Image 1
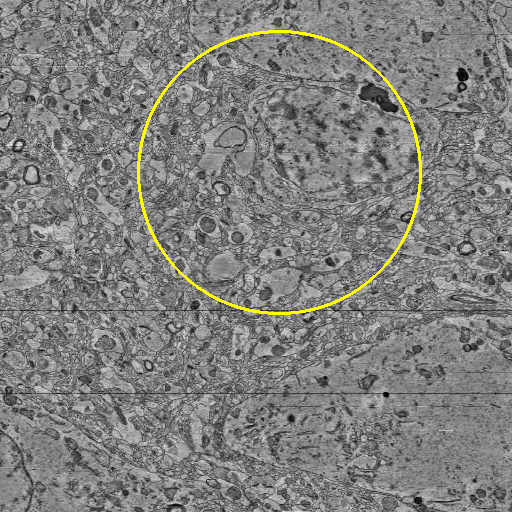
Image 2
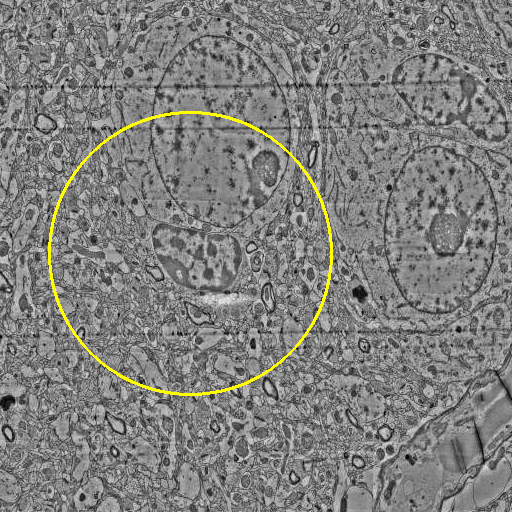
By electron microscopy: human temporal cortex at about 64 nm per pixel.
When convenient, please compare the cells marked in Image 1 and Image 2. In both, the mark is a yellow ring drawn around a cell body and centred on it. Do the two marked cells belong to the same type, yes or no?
no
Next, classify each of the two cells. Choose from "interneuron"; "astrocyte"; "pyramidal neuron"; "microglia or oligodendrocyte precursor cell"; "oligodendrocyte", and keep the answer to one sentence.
In the first picture it is an interneuron; in the second it is a microglial cell or oligodendrocyte precursor cell.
